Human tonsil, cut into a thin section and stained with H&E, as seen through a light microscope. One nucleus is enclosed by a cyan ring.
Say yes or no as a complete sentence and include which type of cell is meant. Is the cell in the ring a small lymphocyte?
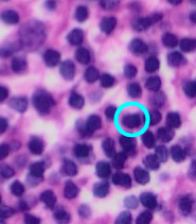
Yes, the cell in the ring represents a small lymphocyte in this tissue.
